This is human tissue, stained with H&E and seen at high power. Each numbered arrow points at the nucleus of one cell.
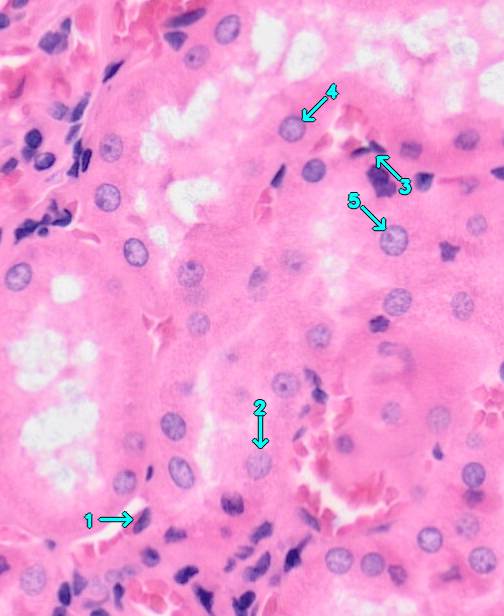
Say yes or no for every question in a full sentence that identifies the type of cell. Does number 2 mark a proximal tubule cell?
Yes, among the marked cells, the one with number 2 is a proximal tubule cell.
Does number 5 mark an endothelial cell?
No, what number 5 shows is a proximal tubule cell, not an endothelial cell.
